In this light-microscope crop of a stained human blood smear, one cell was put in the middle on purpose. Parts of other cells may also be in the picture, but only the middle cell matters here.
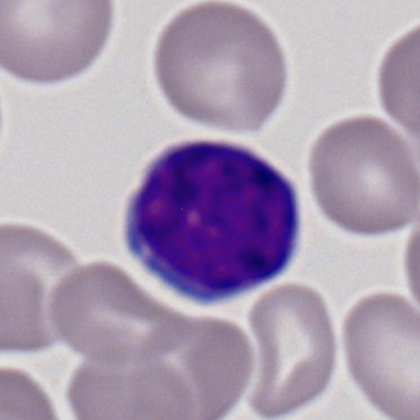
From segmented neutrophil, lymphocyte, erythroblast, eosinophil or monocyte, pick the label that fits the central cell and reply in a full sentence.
The cell in the exact centre of the crop is a lymphocyte.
